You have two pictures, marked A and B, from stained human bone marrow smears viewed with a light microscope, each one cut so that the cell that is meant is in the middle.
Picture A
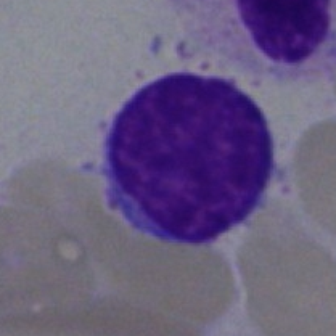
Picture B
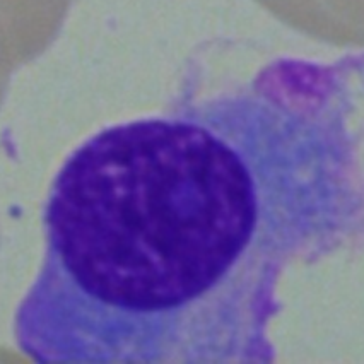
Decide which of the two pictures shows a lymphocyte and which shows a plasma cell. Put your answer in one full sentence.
Picture A shows a lymphocyte and picture B shows a plasma cell.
